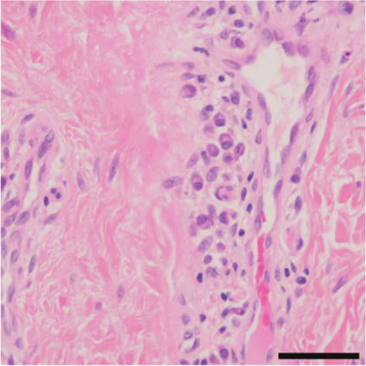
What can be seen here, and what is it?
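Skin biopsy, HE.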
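Dermis with a cluster of plasma cells around a small vessel. The cells have round to oval nuclei that sit to one side of a modest amount of pink cytoplasm, and they line up along the vessel wall. Around them lies pale pink, wavy collagen with scattered spindle-shaped nuclei.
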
